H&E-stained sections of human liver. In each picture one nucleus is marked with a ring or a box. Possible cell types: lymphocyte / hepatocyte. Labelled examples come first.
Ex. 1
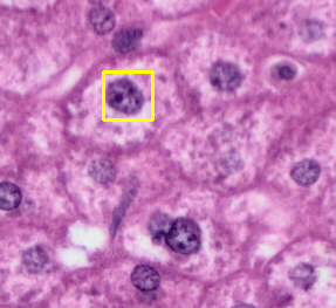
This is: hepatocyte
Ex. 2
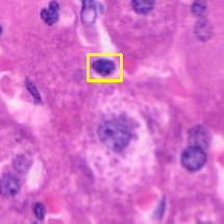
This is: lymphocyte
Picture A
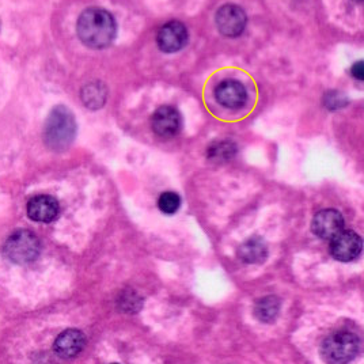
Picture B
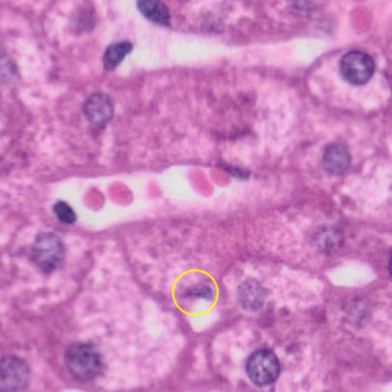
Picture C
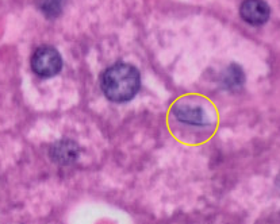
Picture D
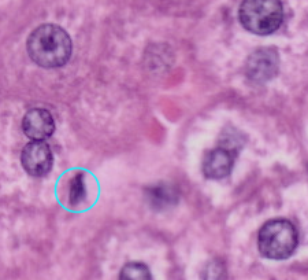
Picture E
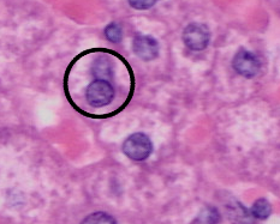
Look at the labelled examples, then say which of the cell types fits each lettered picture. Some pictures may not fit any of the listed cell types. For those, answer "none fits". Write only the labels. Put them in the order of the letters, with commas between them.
hepatocyte, none fits, none fits, none fits, hepatocyte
